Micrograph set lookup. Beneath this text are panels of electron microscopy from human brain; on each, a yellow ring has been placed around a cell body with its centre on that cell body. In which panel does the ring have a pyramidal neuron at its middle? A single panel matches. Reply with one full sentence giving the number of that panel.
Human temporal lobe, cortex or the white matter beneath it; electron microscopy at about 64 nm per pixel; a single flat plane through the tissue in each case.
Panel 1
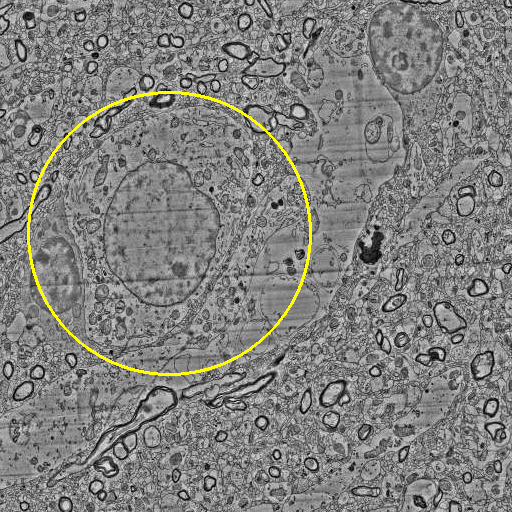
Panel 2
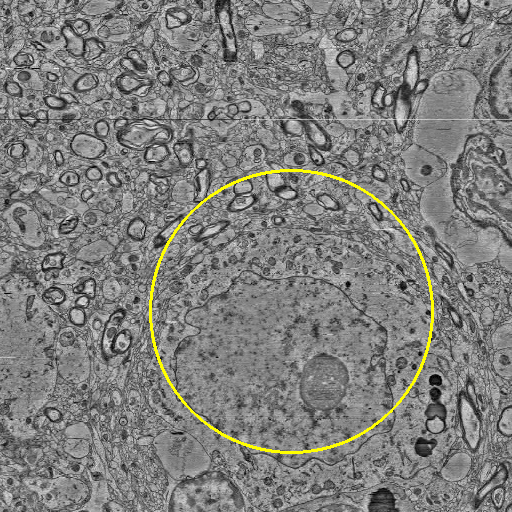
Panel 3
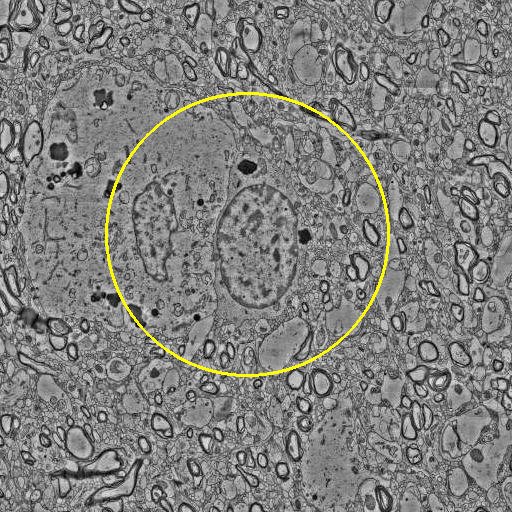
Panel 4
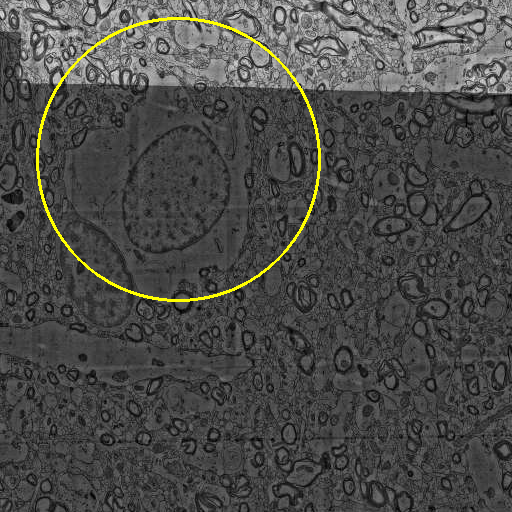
Panel 2 is the one whose ring has the sought cell at its centre.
